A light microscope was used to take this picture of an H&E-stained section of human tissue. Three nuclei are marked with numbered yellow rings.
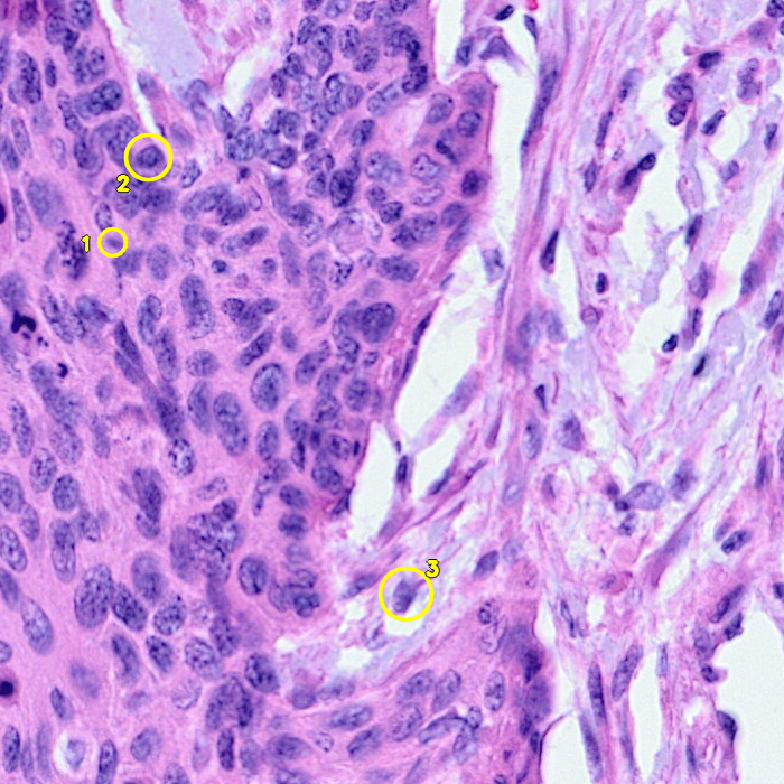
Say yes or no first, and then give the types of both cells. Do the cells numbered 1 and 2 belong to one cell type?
Yes, both are squamous carcinoma cells.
